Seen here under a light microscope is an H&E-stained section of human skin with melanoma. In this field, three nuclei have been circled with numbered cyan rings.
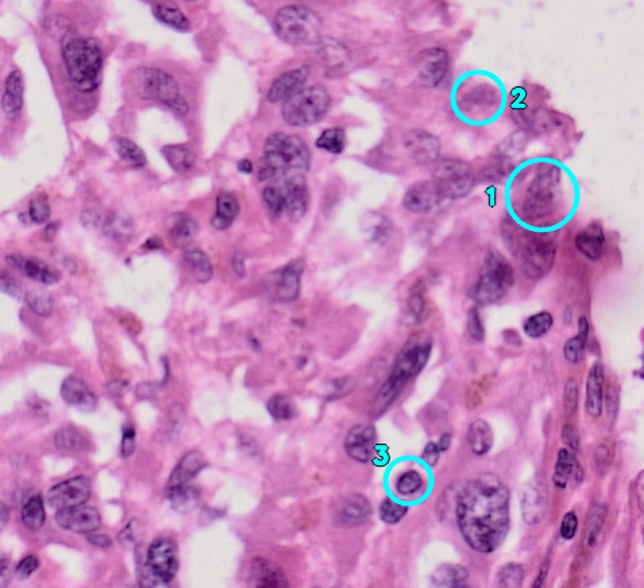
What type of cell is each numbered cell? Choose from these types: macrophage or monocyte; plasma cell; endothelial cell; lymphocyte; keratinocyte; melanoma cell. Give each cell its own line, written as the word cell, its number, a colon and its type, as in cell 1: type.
cell 1: melanoma cell
cell 2: melanoma cell
cell 3: lymphocyte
